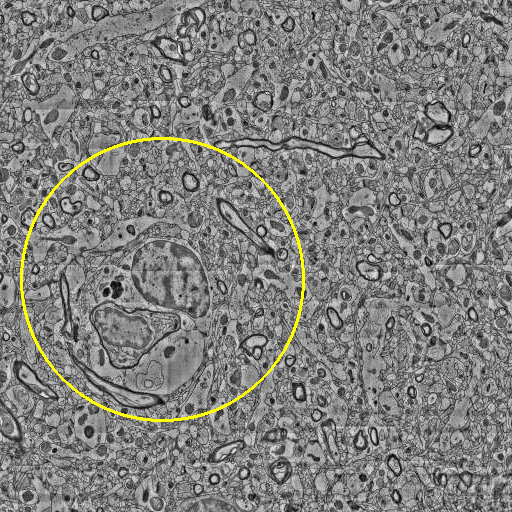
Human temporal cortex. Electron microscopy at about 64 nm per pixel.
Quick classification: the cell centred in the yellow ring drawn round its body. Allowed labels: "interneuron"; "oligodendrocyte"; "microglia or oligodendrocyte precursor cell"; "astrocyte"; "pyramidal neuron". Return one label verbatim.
microglia or oligodendrocyte precursor cell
